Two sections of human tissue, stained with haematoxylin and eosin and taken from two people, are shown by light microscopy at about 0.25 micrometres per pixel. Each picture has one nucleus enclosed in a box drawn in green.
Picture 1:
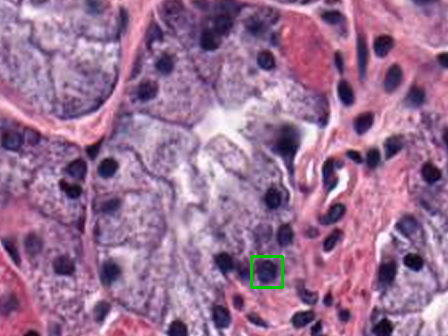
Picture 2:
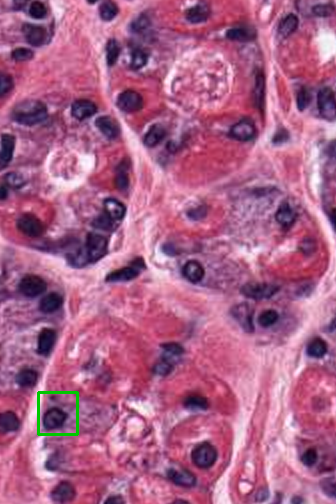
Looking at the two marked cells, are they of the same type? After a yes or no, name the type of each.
Yes, both are chief cells.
